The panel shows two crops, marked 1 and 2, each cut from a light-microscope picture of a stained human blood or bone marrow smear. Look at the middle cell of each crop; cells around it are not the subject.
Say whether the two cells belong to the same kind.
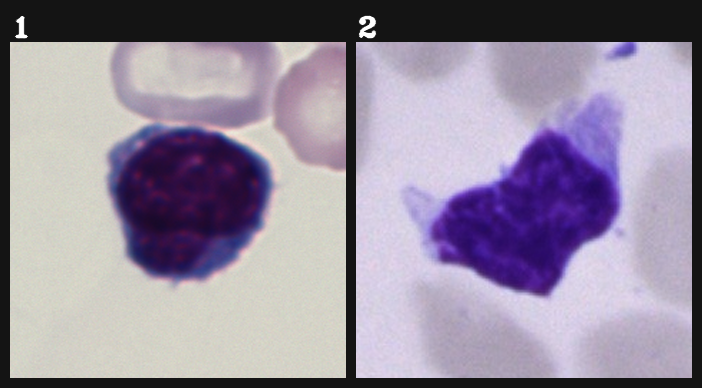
yes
